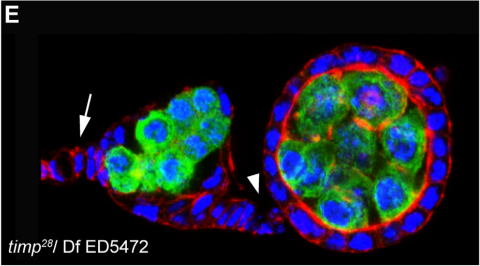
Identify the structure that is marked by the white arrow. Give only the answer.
terminal filament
